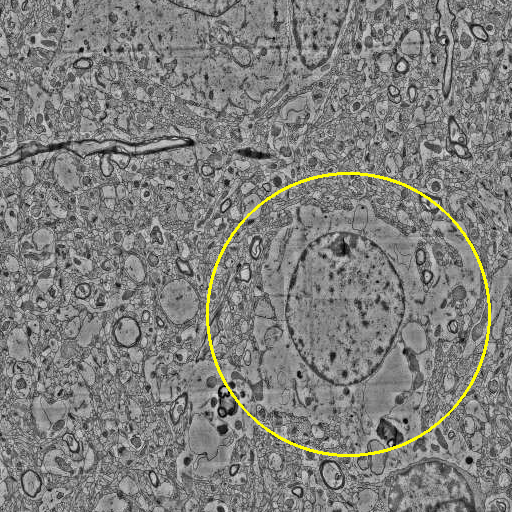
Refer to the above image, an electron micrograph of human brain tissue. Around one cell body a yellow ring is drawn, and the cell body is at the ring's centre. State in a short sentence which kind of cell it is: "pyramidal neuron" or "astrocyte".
The centre of the ring falls on an astrocyte.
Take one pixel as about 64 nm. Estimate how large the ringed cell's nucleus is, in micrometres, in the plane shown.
About 10 micrometres by about 8 micrometres in this plane.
